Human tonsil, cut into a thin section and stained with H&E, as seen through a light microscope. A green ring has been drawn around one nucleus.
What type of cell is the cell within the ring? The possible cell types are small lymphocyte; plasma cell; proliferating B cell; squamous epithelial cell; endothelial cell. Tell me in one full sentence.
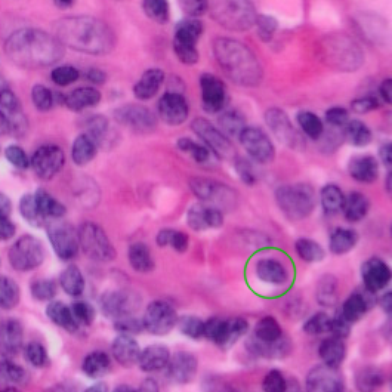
Placed in its cell category, the cell within the ring is an endothelial cell.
